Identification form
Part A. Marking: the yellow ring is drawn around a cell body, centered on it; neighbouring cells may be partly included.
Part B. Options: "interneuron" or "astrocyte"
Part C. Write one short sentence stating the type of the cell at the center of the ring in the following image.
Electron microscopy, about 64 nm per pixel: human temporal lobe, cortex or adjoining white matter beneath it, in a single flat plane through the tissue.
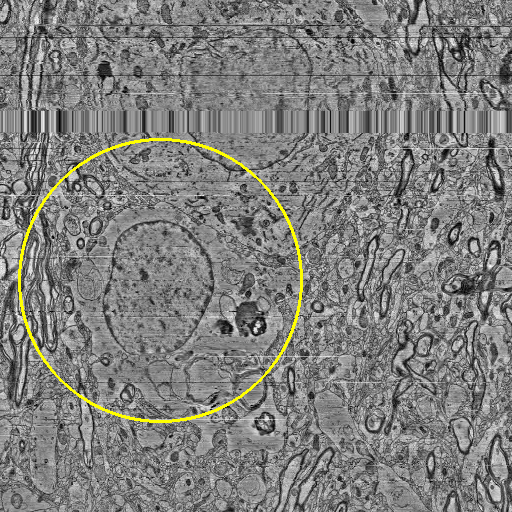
The center of the ring holds an astrocyte.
